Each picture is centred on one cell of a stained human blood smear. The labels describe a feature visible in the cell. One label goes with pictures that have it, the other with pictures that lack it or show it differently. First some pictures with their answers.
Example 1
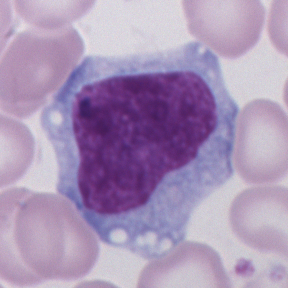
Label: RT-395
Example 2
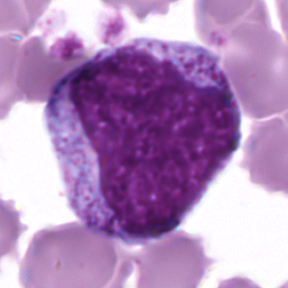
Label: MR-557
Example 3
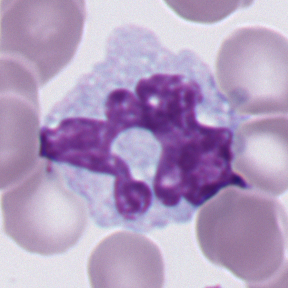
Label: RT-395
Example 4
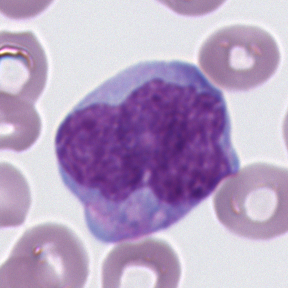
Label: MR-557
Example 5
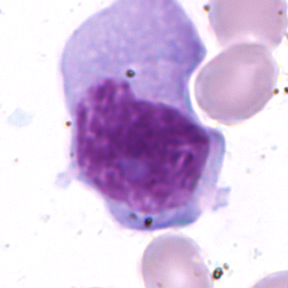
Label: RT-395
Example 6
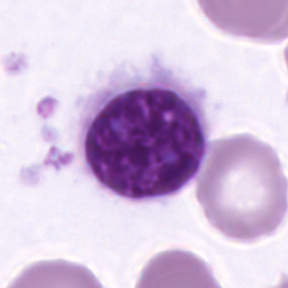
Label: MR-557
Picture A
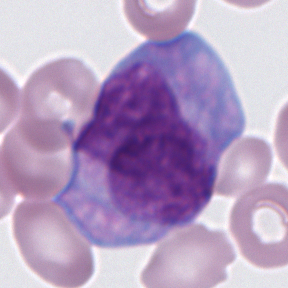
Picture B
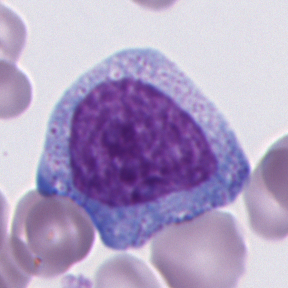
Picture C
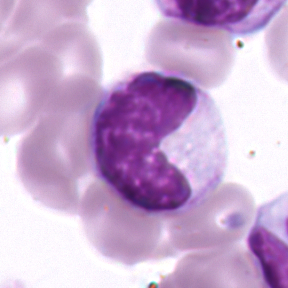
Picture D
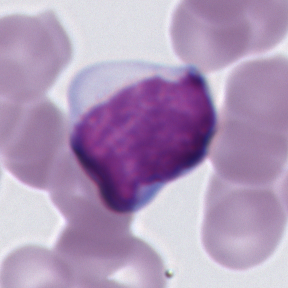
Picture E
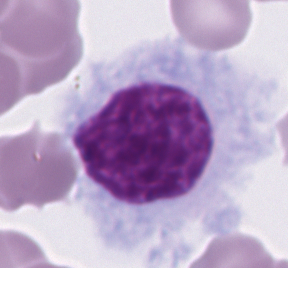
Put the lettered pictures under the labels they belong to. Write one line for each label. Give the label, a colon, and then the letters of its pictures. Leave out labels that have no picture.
RT-395: A, B, E
MR-557: C, D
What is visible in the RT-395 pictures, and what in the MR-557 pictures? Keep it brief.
Seen in RT-395: abundant cytoplasm; seen in MR-557: scant cytoplasm.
